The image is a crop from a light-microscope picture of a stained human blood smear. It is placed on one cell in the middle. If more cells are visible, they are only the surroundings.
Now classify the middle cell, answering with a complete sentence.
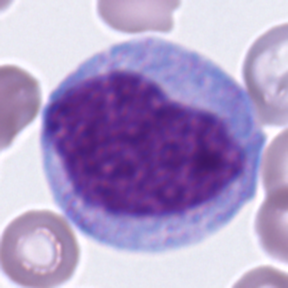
In the middle of this smear crop, the cell is a promyelocyte.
